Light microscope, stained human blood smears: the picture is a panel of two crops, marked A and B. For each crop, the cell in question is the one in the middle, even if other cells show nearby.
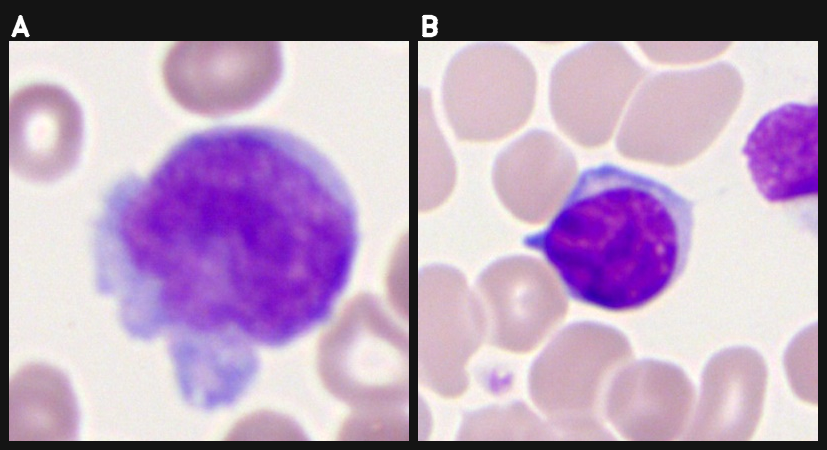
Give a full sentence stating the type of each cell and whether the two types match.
No, what crop A shows is a myeloblast, and what crop B shows is a lymphocyte.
